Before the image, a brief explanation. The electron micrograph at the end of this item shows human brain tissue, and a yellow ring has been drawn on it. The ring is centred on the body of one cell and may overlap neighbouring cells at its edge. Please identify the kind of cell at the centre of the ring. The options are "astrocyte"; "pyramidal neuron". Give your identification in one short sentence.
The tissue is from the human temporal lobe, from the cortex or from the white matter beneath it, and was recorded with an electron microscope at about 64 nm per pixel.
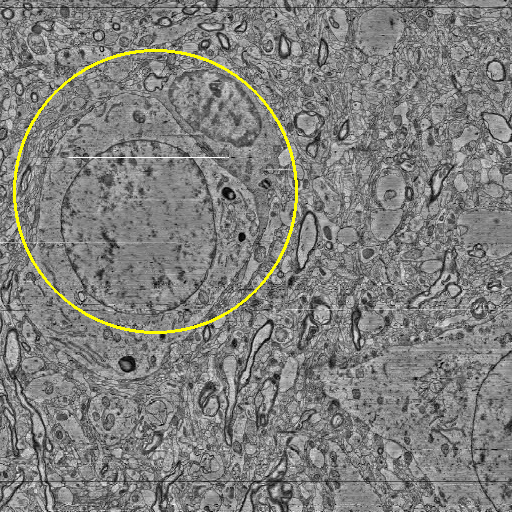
The ring has been placed around a pyramidal neuron.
